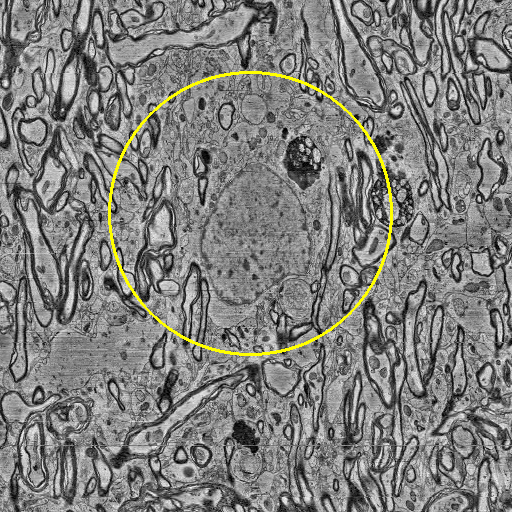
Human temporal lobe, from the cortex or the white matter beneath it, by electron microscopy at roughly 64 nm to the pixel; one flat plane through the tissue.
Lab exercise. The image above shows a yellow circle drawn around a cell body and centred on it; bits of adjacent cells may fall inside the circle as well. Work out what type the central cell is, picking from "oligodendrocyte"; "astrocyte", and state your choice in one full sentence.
In the image above, the cell at the centre of the yellow circle is an astrocyte.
